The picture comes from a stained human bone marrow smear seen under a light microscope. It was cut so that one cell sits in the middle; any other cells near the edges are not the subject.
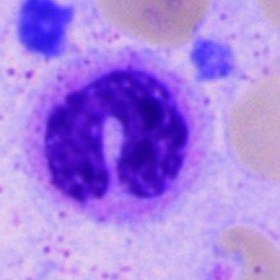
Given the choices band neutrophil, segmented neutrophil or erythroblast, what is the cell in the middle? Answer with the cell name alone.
band neutrophil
